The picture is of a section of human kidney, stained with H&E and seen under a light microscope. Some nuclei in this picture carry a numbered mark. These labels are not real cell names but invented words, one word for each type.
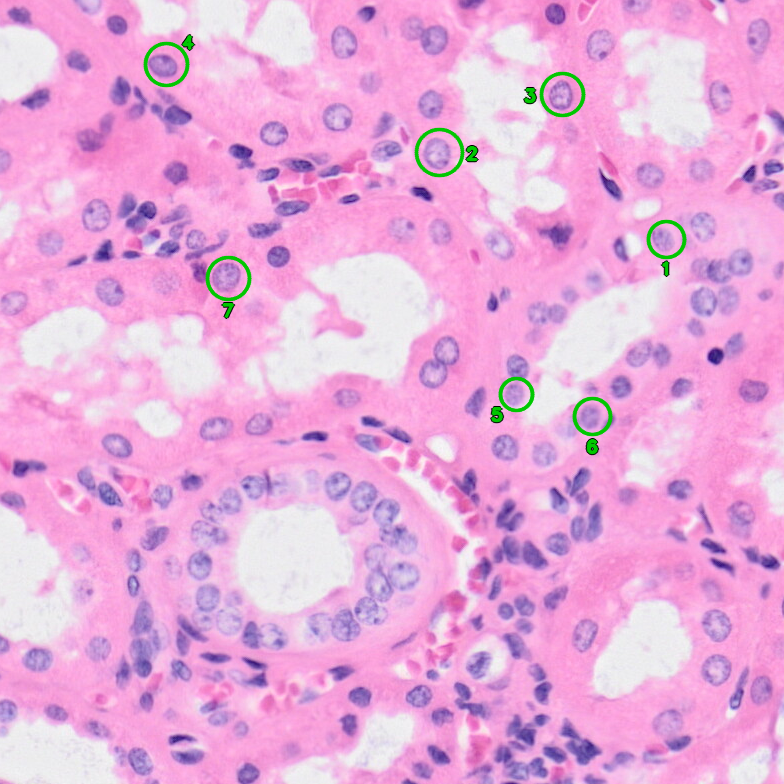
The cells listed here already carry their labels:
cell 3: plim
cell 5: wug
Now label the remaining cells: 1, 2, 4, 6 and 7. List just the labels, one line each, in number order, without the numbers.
wug
plim
plim
wug
plim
